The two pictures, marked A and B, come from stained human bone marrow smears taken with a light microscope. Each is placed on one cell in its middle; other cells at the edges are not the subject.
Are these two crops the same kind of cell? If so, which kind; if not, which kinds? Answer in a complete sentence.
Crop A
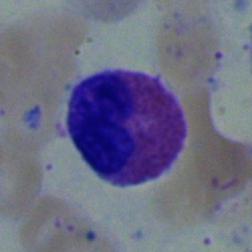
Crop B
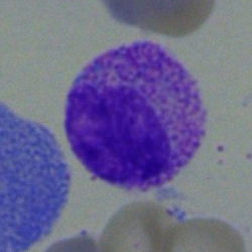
No, what crop A shows is an eosinophil, and what crop B shows is a myelocyte.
